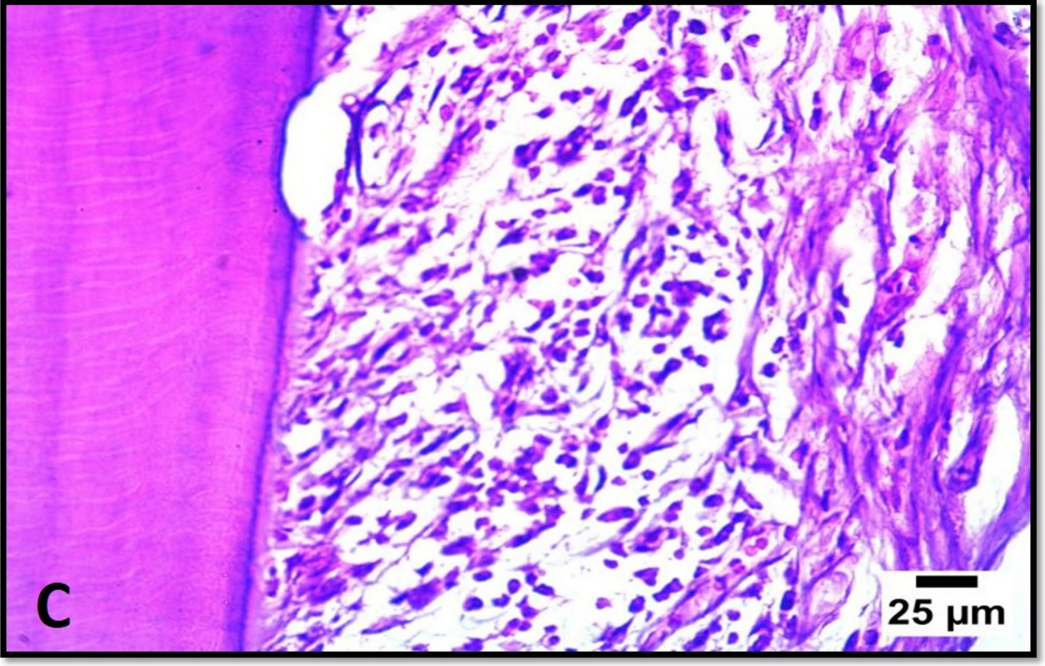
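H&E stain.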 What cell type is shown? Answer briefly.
mononuclear inflammatory cells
